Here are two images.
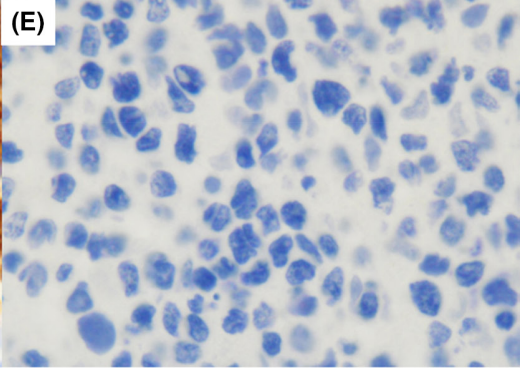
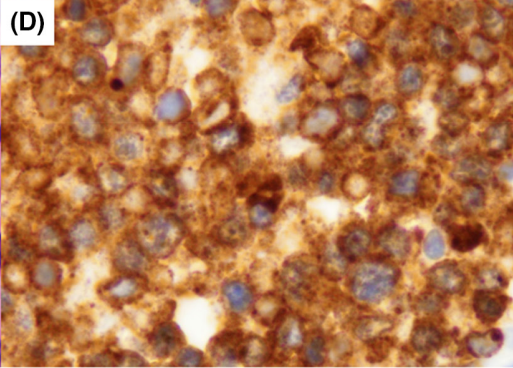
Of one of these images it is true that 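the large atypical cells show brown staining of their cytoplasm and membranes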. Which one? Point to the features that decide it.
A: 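The second image. First image: all nuclei are blue with no brown colour in the cells. Second image: nearly every cell is surrounded and filled by brown, partly granular staining.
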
